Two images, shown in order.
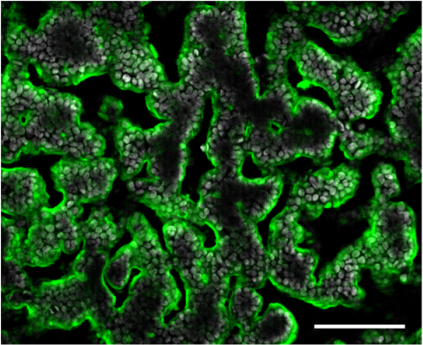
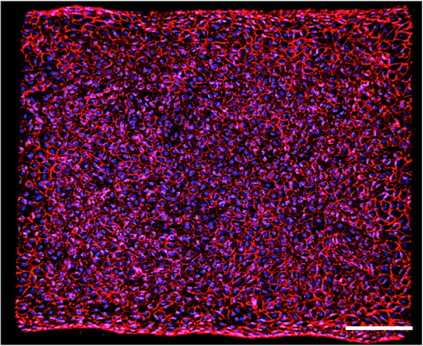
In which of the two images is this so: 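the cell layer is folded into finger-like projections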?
the first image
